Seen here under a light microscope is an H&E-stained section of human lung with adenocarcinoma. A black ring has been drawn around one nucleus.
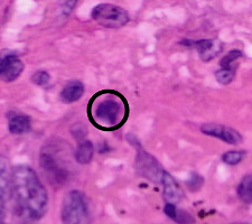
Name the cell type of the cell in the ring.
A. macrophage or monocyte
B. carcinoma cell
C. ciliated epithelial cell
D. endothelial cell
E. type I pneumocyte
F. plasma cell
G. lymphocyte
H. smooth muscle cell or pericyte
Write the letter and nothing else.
F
